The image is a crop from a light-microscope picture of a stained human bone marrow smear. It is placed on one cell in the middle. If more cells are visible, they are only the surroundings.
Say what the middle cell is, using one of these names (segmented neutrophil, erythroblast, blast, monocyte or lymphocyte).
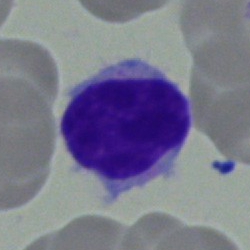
lymphocyte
